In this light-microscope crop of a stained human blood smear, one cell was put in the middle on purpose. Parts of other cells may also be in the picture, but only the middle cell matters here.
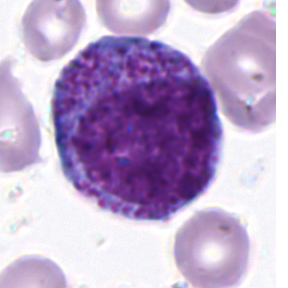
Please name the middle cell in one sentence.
The centrally positioned cell in the crop represents a promyelocyte.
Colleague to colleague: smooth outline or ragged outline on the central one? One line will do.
The edge of the cell is unbroken and smooth, bearing no projections.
